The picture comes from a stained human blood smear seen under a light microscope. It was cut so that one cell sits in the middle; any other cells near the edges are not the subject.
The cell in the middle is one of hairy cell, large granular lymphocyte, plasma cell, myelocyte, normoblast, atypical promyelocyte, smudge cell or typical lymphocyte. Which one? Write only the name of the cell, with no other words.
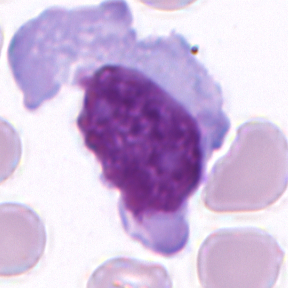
plasma cell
